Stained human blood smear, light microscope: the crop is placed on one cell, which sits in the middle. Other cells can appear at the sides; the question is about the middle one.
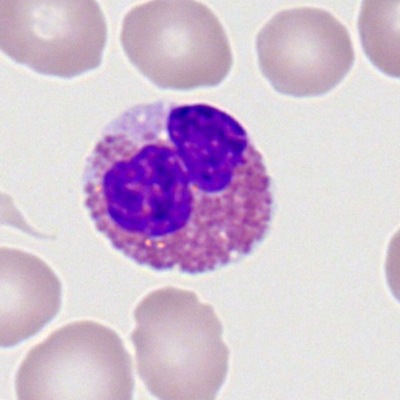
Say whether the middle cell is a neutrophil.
no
